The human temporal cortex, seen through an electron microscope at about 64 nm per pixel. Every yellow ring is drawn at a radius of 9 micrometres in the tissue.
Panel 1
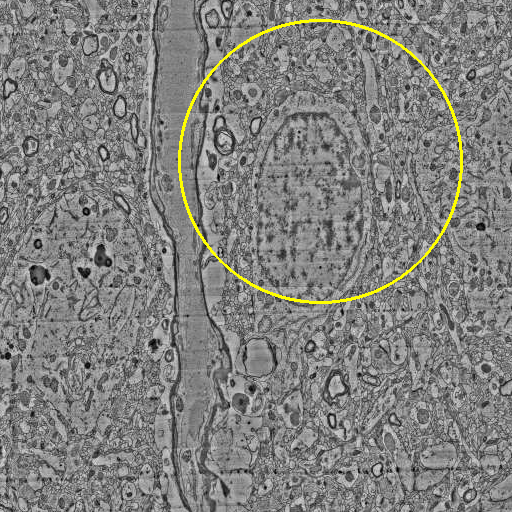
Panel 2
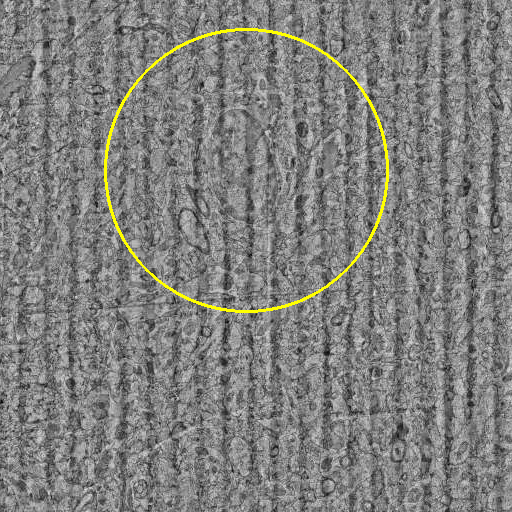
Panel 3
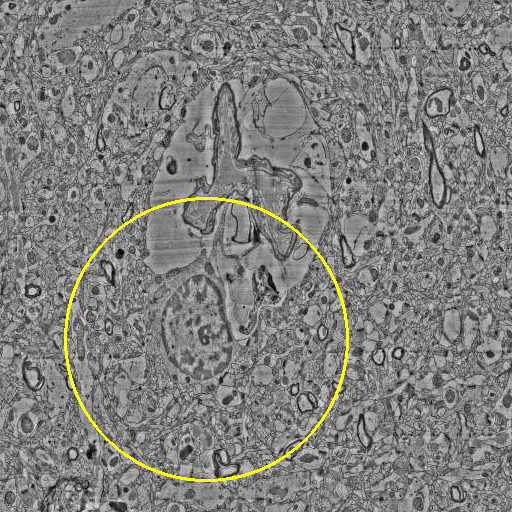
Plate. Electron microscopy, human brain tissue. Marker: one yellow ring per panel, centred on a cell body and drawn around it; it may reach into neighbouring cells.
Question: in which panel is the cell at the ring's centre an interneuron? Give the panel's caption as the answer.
Panel 1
